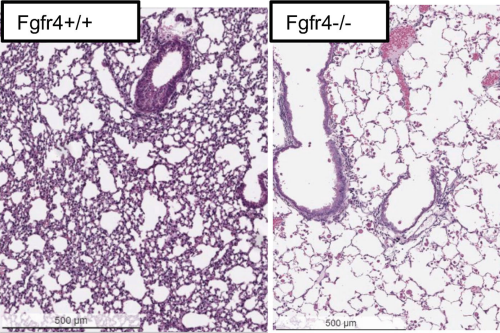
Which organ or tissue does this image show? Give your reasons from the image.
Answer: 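Lung tissue. Both halves show a sponge-like meshwork of thin septa around many small air spaces. Airways and blood vessels with thicker walls lie within the meshwork.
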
